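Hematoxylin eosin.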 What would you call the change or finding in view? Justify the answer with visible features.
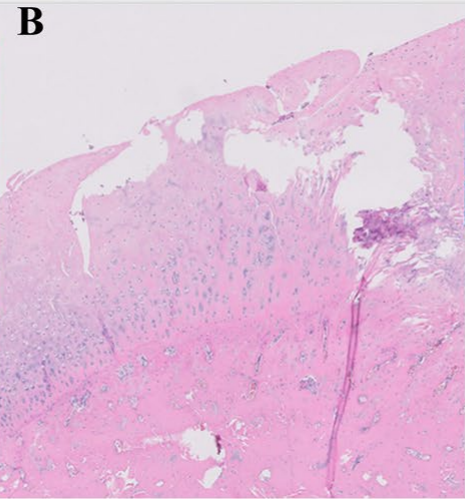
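Clefts run downward from the irregular surface into the cartilage. The upper surface is broken with large gaps.
Answer: matrix vertical fissures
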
